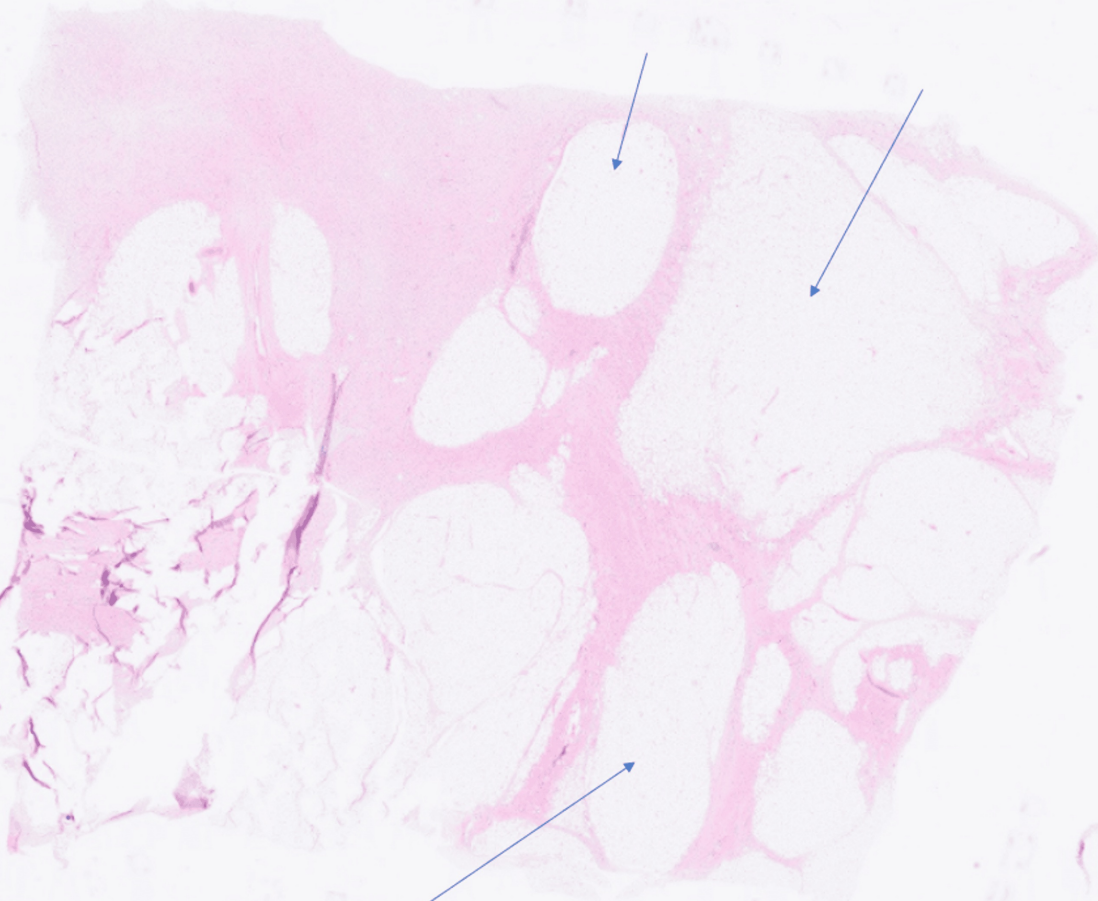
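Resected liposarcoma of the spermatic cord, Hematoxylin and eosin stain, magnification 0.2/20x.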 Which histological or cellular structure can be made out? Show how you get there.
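Fibrous strands. Bands of pink-staining dense tissue run between the pale rounded areas. The pink bands divide the pale tissue into separate lobules of varying size.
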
